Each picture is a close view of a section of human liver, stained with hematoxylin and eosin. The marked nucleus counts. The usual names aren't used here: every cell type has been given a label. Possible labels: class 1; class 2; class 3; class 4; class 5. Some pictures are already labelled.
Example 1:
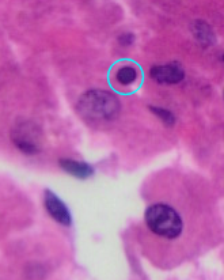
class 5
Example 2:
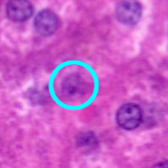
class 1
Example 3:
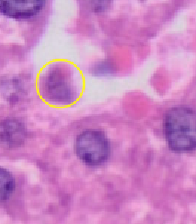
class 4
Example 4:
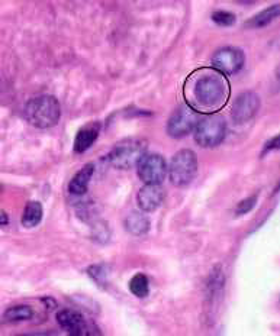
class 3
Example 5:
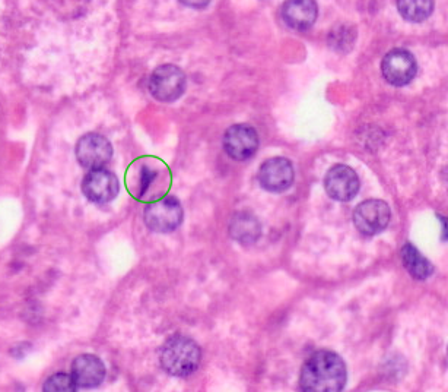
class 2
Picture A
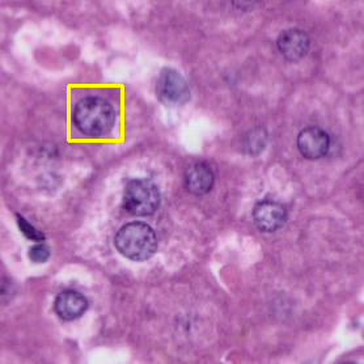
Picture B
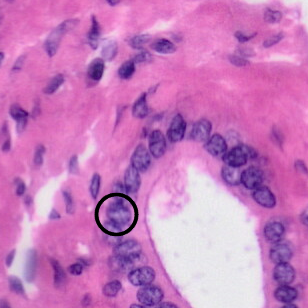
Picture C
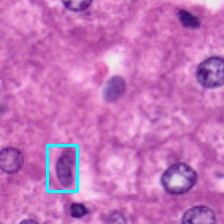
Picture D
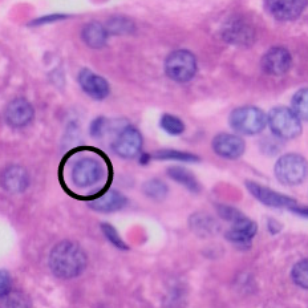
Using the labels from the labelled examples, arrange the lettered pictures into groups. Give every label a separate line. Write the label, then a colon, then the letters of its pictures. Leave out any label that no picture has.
class 1: A
class 3: B, D
class 4: C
